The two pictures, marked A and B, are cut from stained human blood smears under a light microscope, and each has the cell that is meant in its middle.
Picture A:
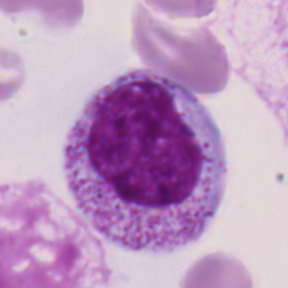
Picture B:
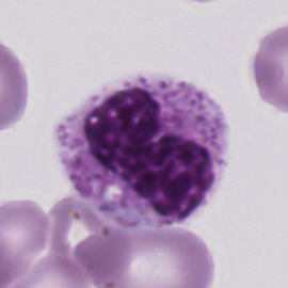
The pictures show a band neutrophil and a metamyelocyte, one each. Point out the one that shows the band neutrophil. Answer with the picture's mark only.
B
